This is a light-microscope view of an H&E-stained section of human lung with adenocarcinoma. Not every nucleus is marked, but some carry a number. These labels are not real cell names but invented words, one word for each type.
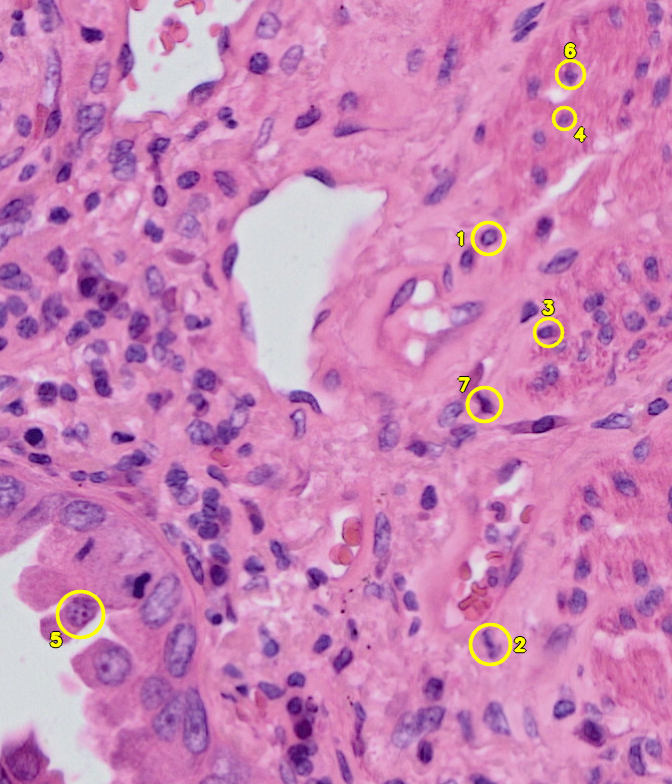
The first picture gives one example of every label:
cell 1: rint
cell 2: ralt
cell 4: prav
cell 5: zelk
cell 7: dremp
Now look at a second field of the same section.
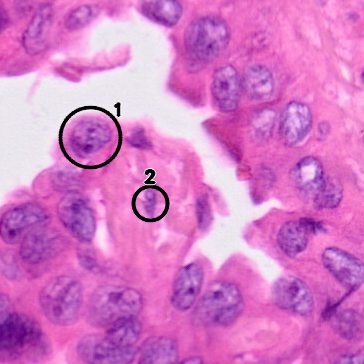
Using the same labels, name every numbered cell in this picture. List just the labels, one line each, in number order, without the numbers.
zelk
ralt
